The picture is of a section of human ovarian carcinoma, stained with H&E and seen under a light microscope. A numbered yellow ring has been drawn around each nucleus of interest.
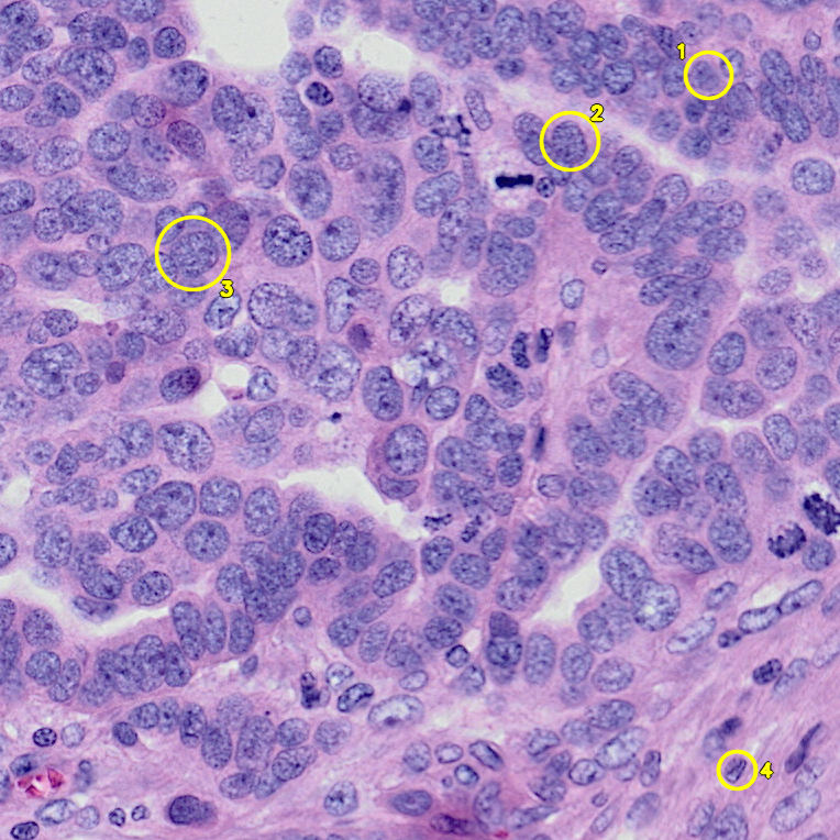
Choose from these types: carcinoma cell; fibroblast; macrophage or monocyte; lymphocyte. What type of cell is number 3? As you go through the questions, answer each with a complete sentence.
Cell 3 of the marked set is a carcinoma cell.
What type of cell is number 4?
The cell pointed out as number 4 is a lymphocyte.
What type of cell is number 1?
The cell indicated with the number 1 is classed as a carcinoma cell.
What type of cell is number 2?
What the number 2 marks in this field is a carcinoma cell.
